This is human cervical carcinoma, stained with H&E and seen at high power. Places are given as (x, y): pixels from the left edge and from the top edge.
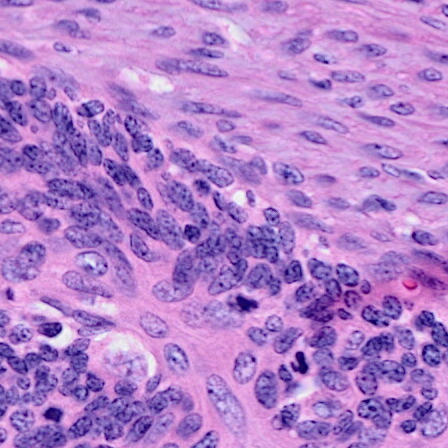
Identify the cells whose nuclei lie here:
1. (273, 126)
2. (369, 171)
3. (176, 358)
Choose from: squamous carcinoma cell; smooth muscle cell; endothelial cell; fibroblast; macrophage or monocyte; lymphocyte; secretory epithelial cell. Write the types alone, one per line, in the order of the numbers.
smooth muscle cell
smooth muscle cell
squamous carcinoma cell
